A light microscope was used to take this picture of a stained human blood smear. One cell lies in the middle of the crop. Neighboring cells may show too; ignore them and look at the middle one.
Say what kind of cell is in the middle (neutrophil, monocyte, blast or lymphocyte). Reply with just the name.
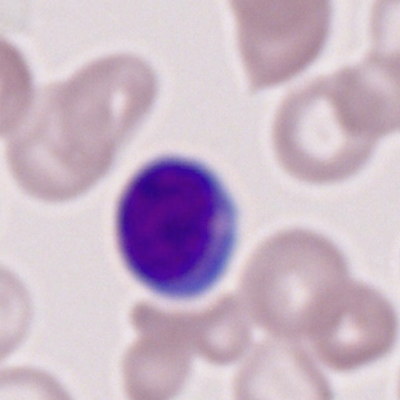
lymphocyte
